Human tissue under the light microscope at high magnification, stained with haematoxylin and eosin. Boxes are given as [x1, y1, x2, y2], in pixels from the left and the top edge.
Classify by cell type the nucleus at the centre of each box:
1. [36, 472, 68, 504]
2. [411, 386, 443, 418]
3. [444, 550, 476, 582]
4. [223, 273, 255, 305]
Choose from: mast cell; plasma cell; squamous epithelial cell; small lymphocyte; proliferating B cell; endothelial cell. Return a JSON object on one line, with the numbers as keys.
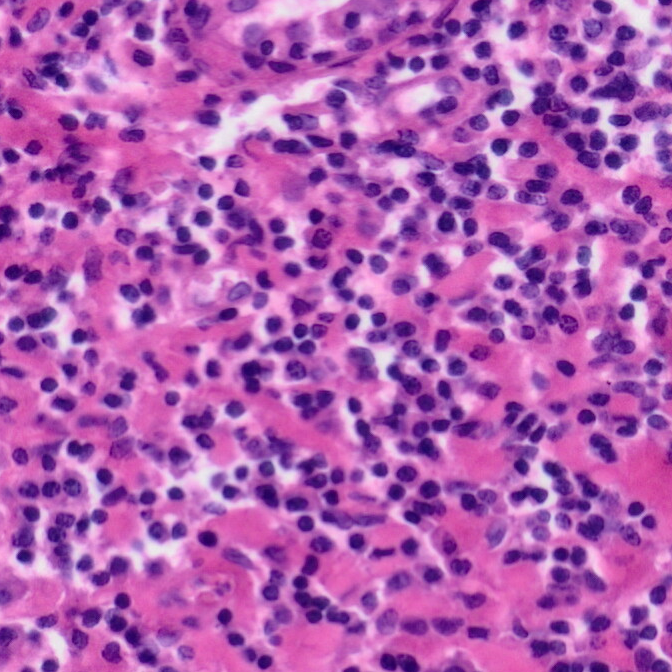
{"1": "plasma cell", "2": "plasma cell", "3": "plasma cell", "4": "endothelial cell"}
